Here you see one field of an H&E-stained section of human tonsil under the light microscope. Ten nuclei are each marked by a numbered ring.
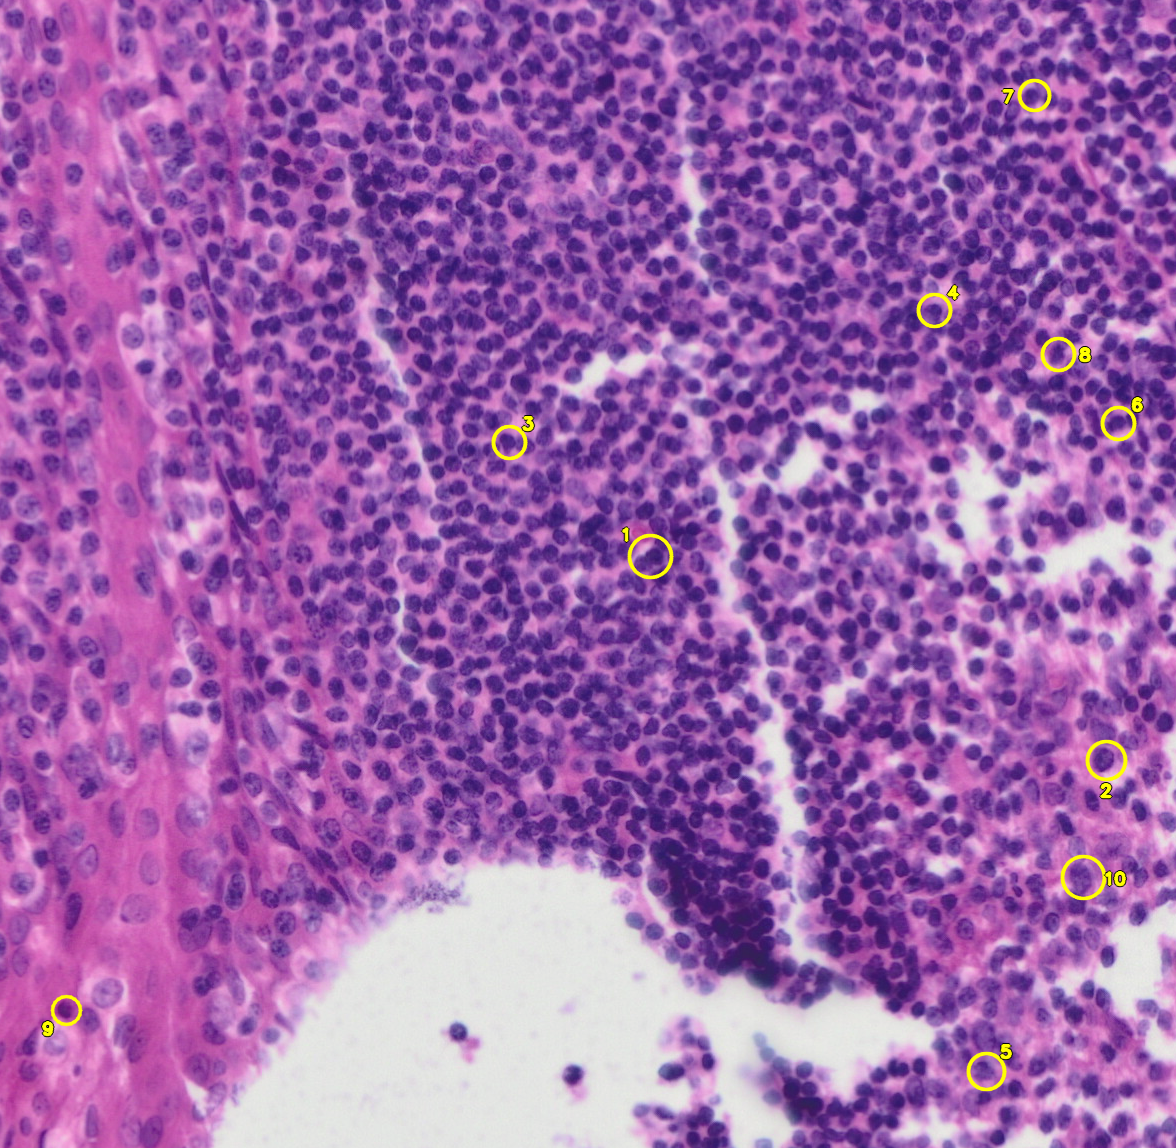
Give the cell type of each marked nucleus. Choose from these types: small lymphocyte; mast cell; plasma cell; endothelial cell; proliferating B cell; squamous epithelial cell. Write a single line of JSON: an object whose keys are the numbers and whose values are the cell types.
{"1": "small lymphocyte", "2": "proliferating B cell", "3": "small lymphocyte", "4": "small lymphocyte", "5": "proliferating B cell", "6": "small lymphocyte", "7": "small lymphocyte", "8": "small lymphocyte", "9": "squamous epithelial cell", "10": "proliferating B cell"}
